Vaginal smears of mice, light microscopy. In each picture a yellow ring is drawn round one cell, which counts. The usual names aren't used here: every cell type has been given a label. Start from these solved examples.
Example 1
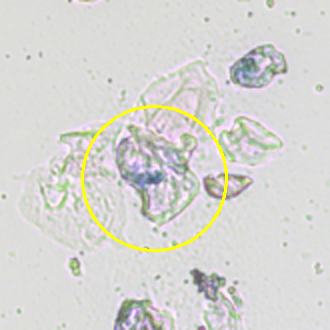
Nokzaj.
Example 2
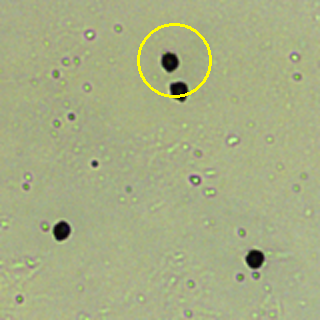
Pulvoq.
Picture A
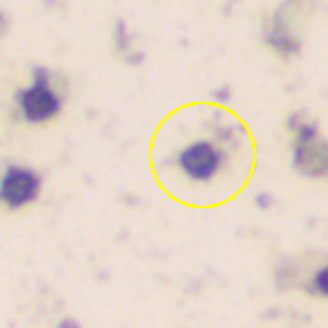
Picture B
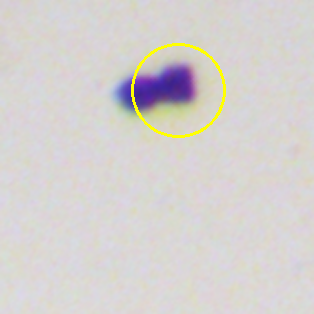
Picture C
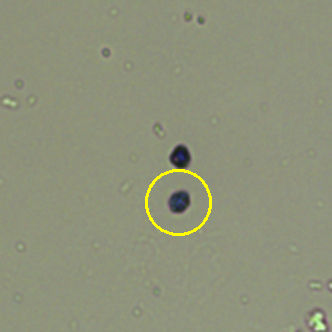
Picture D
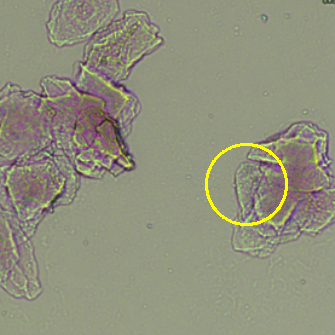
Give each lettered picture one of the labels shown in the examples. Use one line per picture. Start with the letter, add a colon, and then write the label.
A: Pulvoq.
B: Pulvoq.
C: Pulvoq.
D: Nokzaj.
